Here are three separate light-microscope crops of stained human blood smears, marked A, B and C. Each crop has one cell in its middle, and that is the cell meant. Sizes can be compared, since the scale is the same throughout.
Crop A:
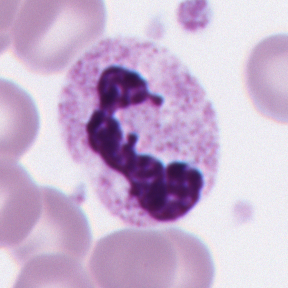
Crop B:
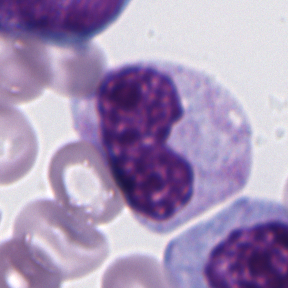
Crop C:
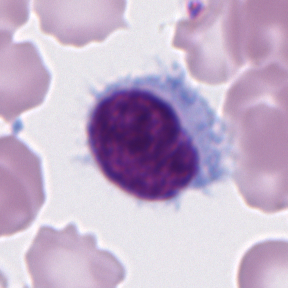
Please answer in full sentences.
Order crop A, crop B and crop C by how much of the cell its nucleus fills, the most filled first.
They run C, B, A, the most filled first.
